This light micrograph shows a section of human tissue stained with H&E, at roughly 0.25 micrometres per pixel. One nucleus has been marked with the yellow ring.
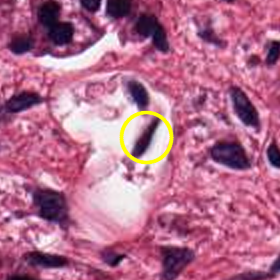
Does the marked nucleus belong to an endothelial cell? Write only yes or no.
yes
